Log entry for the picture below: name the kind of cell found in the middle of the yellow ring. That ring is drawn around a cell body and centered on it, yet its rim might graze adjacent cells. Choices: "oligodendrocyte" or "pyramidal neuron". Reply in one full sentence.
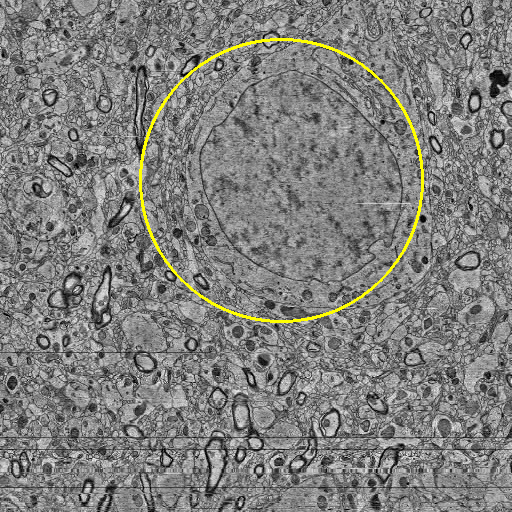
The cell in the middle of the yellow ring in this picture is a pyramidal neuron.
